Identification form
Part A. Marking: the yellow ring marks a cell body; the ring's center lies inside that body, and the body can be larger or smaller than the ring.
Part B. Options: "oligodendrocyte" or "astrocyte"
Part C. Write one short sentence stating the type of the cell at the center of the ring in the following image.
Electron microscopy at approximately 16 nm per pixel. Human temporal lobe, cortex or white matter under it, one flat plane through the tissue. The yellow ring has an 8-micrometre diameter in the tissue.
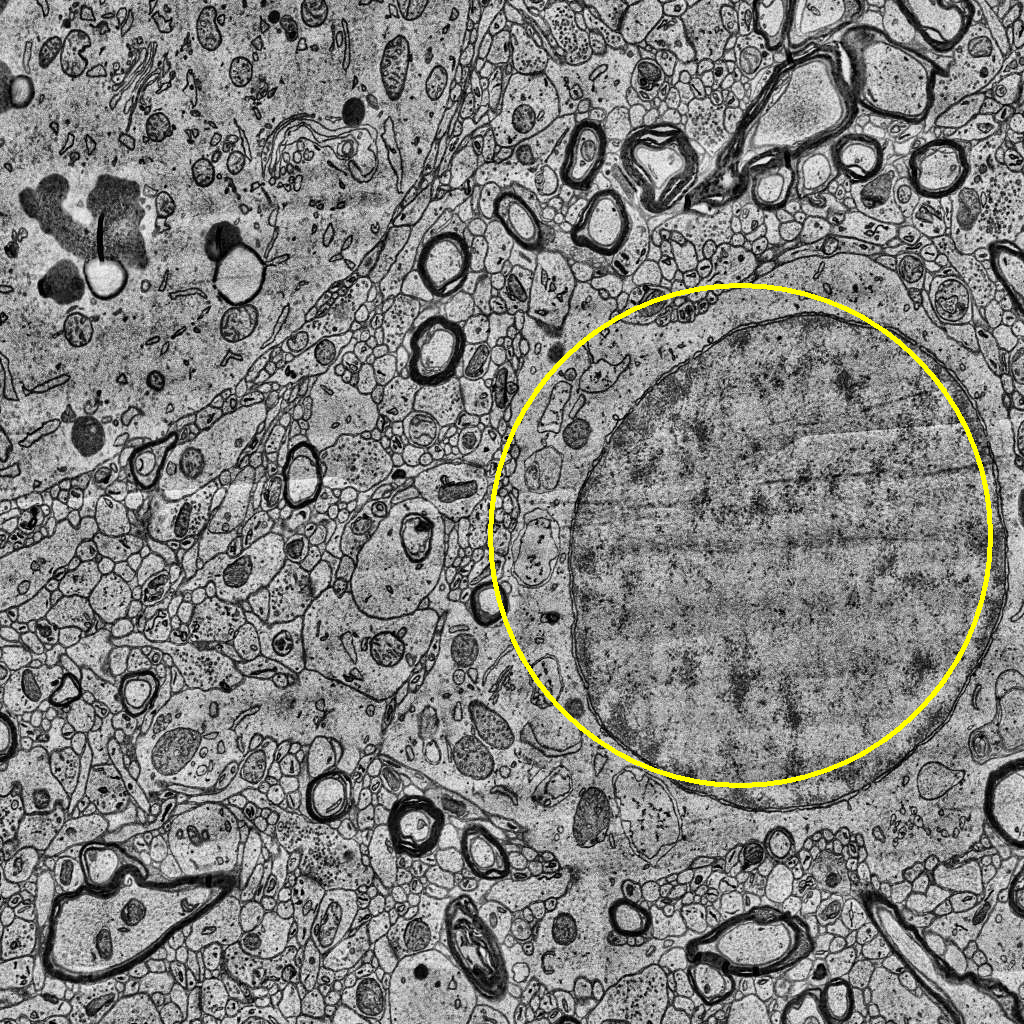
The center of the ring holds an astrocyte.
